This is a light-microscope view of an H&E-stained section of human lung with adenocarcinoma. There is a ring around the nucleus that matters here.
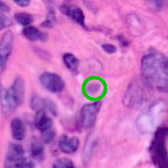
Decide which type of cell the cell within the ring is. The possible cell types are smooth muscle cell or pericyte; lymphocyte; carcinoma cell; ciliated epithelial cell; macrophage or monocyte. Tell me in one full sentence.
The cell type represented by the cell within the ring is that of a lymphocyte.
